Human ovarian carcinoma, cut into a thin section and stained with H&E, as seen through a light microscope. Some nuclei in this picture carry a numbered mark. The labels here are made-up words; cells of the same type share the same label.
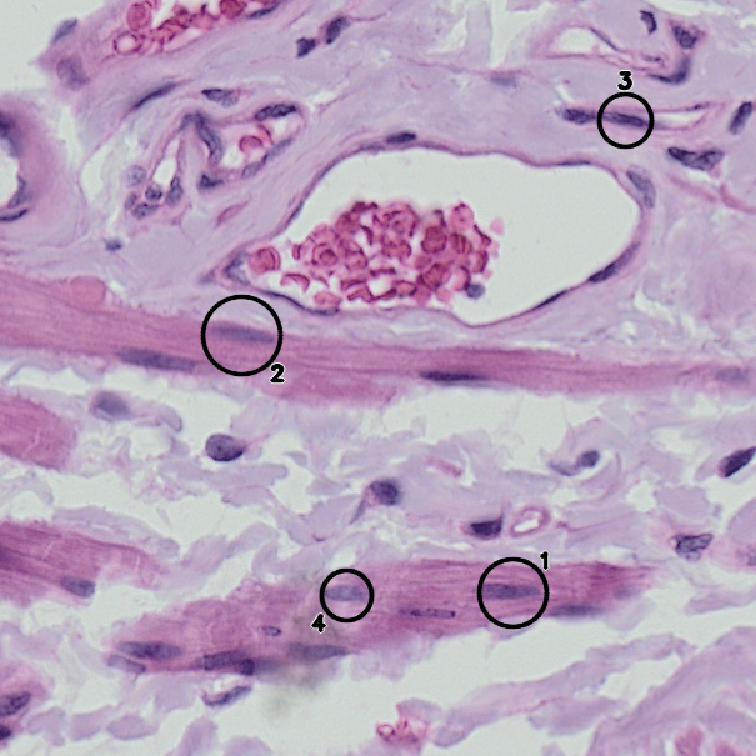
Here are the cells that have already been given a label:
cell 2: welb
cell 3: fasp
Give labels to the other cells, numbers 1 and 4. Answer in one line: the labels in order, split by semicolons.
welb; welb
